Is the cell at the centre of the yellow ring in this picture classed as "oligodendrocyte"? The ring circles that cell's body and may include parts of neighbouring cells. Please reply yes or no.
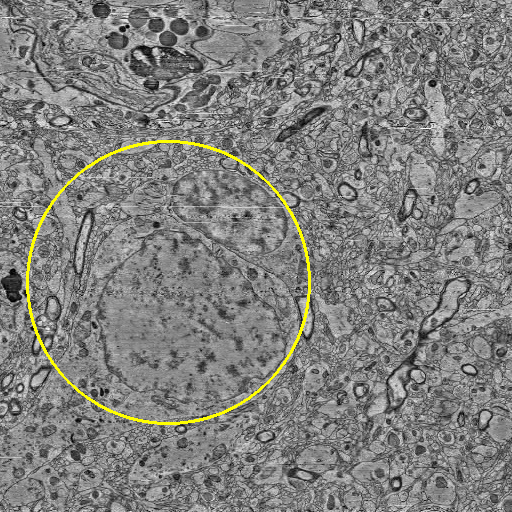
No, it is of another kind.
